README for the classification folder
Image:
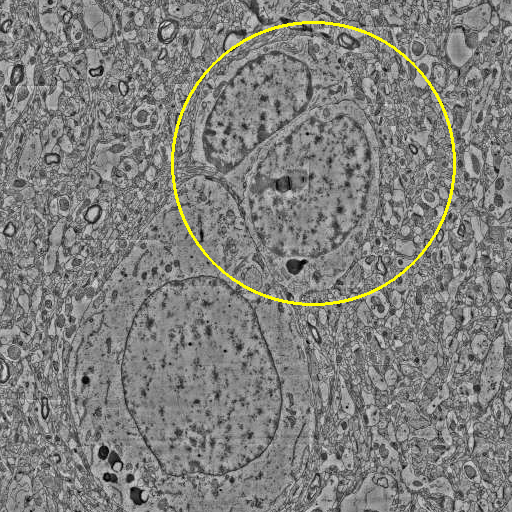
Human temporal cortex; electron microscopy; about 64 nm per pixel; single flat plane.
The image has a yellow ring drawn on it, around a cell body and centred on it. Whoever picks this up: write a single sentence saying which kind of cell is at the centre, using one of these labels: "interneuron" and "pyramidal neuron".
This cell body is that of an interneuron.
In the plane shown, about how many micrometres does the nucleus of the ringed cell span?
Approximately 10 x 7 micrometres in this plane.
